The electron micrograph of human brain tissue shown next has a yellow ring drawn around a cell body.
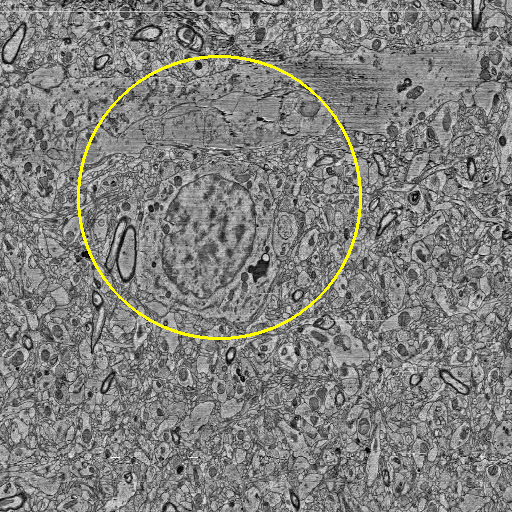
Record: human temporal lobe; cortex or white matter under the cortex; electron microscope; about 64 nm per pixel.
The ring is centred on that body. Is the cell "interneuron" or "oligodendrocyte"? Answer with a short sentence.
The cell in question is an interneuron.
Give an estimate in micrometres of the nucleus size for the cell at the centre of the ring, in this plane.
Roughly 8 by 7 micrometres is the size of the nucleus in this plane.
